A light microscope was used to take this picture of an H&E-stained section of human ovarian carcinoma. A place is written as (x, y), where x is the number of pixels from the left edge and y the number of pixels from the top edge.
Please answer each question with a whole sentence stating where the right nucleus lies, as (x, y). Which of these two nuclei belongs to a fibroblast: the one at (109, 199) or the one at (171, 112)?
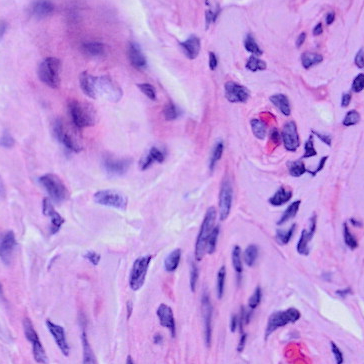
The member of the pair belonging to a fibroblast is the nucleus at (109, 199).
